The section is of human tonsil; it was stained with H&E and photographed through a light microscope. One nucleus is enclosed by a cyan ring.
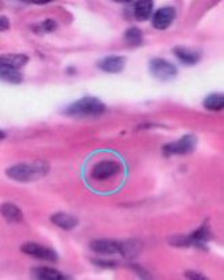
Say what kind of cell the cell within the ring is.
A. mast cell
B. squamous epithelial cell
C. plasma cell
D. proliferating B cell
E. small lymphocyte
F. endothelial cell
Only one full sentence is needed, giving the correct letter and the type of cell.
Option A names the cell within the ring correctly as a mast cell.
